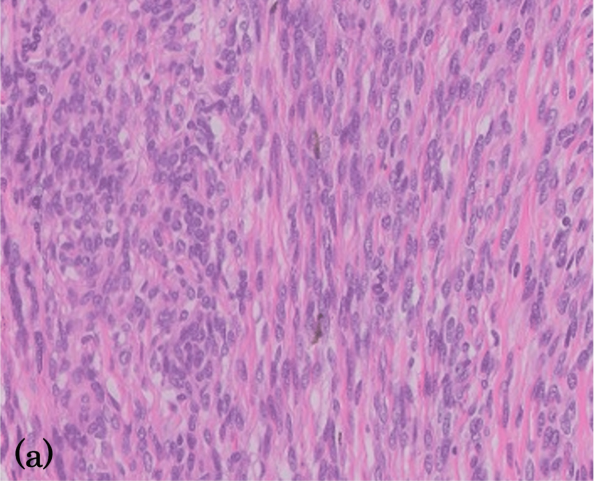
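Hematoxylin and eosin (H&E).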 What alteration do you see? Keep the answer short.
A: Spindle cell tumor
